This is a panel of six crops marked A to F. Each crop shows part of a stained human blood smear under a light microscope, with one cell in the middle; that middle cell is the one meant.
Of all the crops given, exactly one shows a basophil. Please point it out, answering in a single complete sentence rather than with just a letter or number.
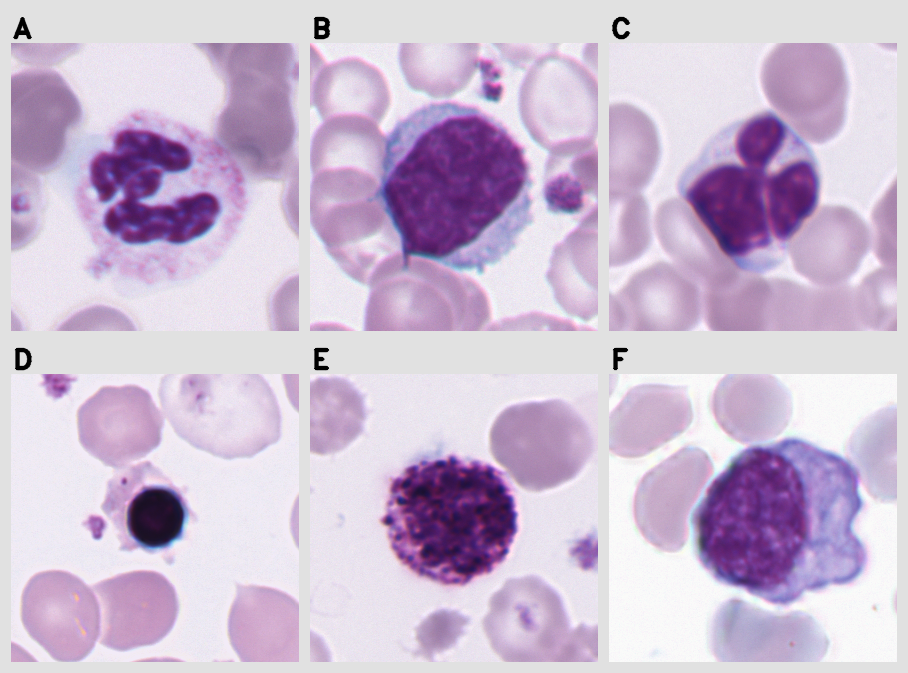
Here the crop that shows a basophil is crop E.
